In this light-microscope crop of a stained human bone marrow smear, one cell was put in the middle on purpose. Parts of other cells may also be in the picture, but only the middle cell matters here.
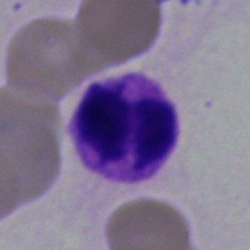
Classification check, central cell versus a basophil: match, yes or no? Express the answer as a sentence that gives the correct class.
Yes, the cell at the centre of the field is a basophil.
